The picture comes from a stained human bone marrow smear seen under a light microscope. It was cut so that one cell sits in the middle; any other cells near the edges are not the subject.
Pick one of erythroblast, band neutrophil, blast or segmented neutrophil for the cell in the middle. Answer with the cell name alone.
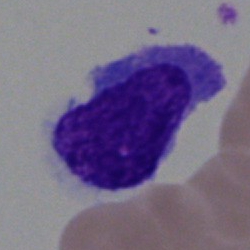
blast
